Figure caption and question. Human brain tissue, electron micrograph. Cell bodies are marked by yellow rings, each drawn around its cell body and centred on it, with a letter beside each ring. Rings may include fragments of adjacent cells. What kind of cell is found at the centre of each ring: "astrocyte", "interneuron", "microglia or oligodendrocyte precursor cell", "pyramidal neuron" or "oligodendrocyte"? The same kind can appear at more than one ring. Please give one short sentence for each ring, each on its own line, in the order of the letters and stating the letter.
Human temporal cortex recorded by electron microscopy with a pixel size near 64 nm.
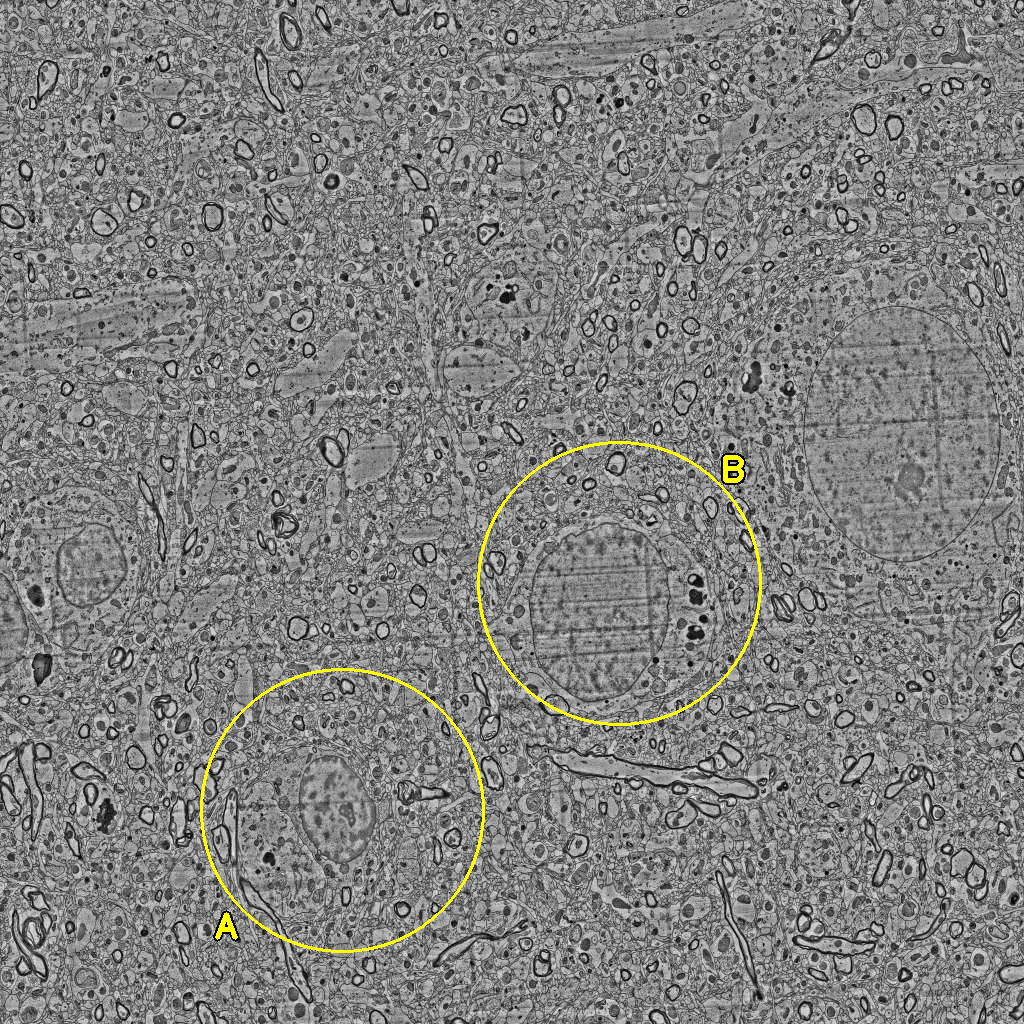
The centre of ring A falls on an oligodendrocyte.
The centre of ring B falls on a pyramidal neuron.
